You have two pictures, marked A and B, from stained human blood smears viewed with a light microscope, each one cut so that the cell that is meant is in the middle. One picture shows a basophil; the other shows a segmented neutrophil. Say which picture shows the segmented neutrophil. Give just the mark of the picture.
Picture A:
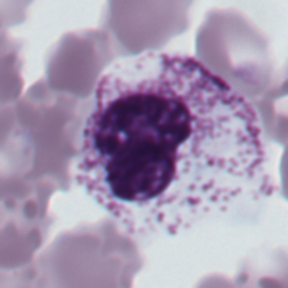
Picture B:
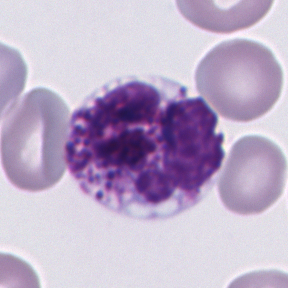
A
